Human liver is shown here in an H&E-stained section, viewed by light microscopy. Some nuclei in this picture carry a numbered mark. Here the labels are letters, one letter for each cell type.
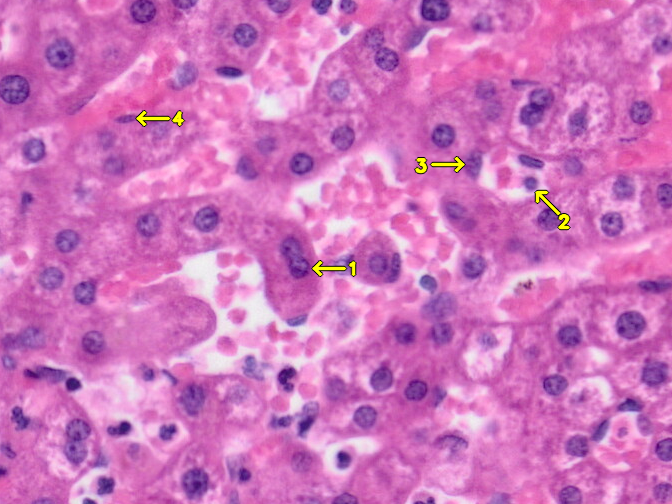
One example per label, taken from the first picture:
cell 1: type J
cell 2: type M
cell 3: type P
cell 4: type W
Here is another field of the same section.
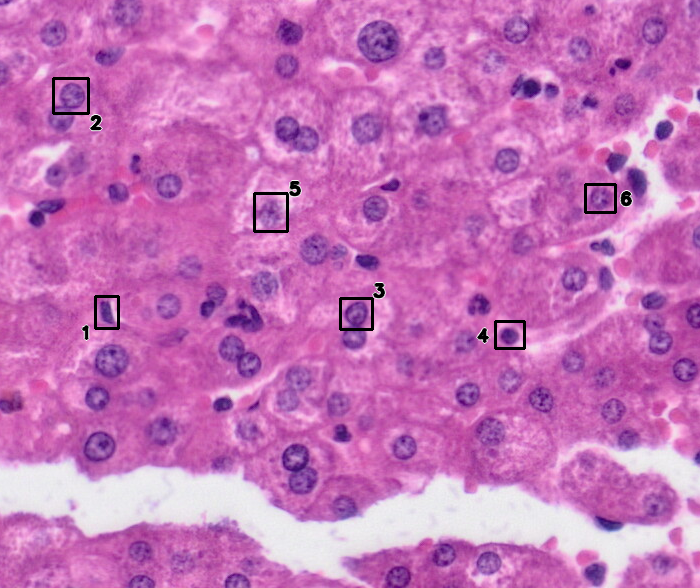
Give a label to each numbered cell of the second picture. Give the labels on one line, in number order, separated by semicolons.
type W; type J; type J; type M; type J; type J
